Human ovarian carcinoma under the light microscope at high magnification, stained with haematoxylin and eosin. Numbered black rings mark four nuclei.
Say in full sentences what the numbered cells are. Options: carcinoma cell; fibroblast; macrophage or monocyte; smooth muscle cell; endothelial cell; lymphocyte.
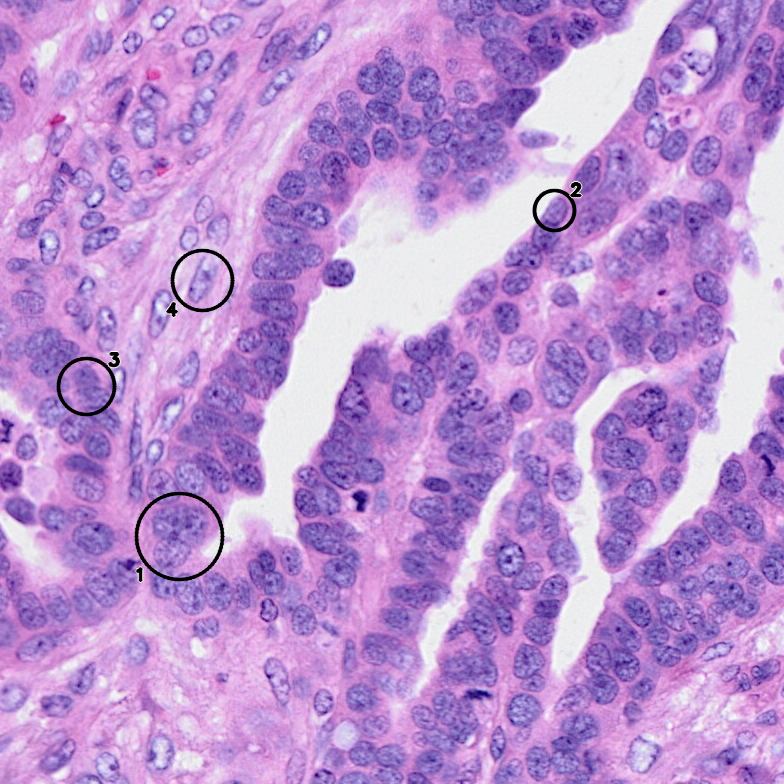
Cell 1 is a carcinoma cell, cell 2 is a carcinoma cell, cell 3 is a carcinoma cell and cell 4 is a fibroblast.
